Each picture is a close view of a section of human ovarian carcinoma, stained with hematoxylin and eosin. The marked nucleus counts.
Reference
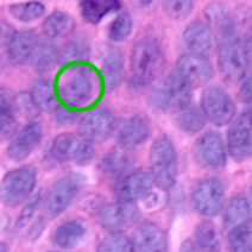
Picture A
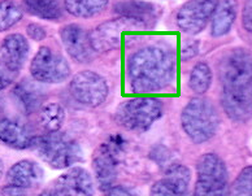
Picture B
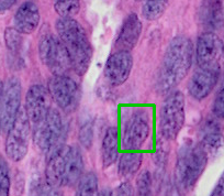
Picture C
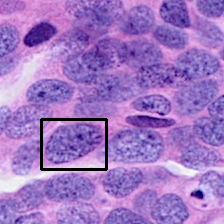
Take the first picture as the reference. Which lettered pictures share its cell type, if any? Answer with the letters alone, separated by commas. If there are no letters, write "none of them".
A, B, C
